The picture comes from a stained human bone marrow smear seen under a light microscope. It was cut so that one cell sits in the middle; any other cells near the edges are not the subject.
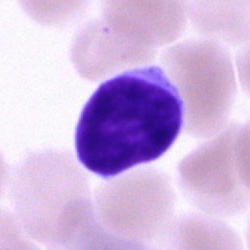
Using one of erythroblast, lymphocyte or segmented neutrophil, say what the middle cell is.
lymphocyte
